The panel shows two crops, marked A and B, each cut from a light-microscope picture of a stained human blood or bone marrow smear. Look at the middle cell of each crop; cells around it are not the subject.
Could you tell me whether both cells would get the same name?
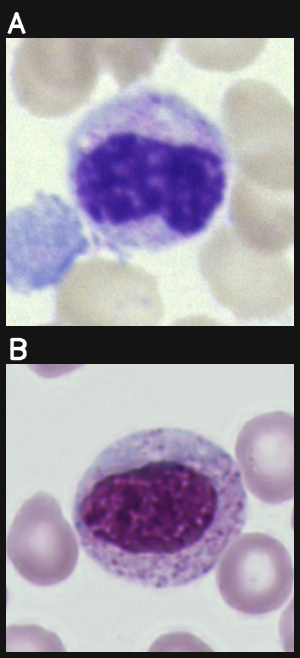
yes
